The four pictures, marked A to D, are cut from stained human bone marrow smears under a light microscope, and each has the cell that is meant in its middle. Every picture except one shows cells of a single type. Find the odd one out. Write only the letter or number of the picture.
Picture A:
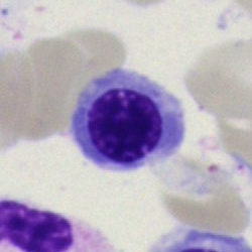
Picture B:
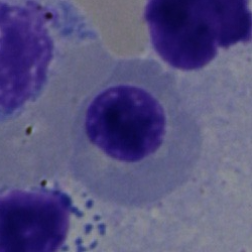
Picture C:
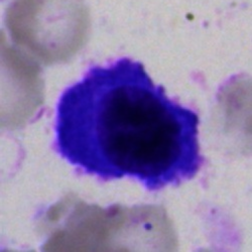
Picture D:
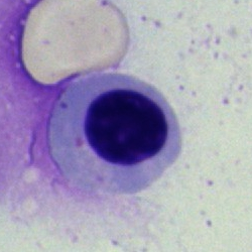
C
